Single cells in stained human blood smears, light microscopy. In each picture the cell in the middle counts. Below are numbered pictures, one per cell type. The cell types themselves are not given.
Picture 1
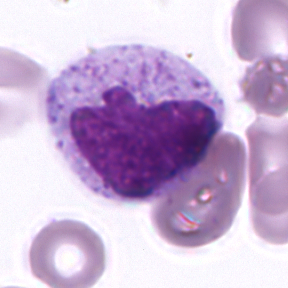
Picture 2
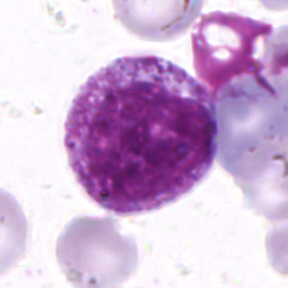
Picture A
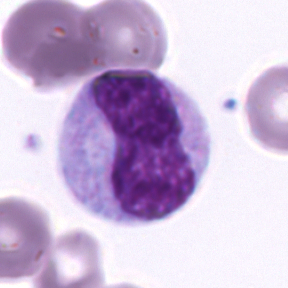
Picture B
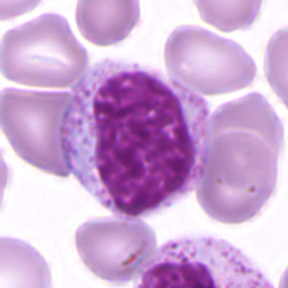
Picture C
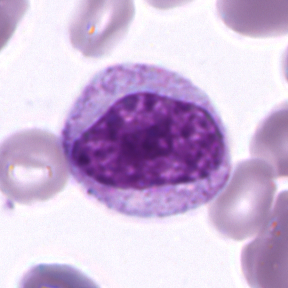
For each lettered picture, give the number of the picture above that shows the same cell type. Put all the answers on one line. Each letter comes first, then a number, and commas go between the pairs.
A 1, B 1, C 1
